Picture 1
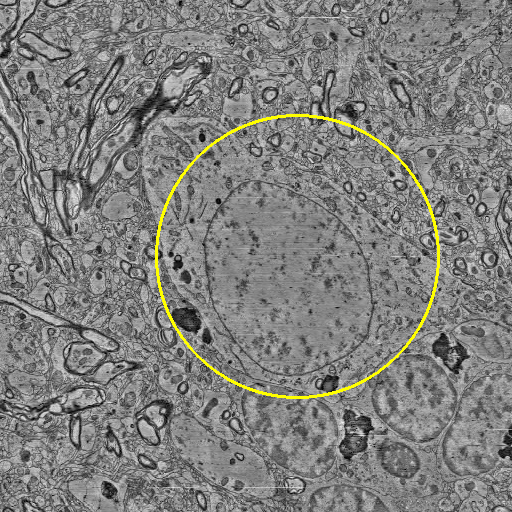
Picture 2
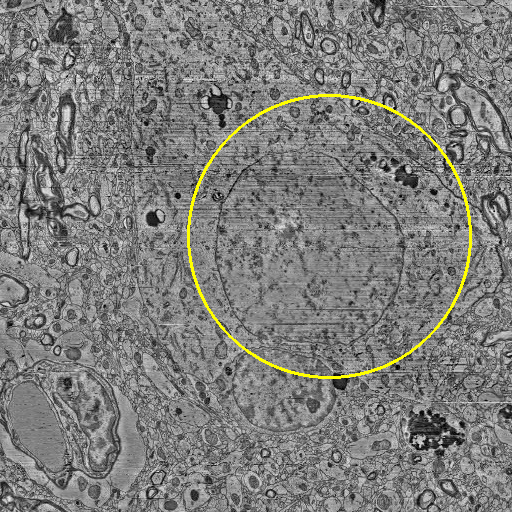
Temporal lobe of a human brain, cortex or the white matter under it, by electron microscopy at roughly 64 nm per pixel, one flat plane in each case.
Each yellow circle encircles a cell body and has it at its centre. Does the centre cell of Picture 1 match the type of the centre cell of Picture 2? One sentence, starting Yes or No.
Yes, the cell centred in Picture 1 and the one in Picture 2 share a type.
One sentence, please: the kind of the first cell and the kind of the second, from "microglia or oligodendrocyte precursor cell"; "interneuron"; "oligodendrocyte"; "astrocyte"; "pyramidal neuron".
Both rings mark a pyramidal neuron, one in each picture.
